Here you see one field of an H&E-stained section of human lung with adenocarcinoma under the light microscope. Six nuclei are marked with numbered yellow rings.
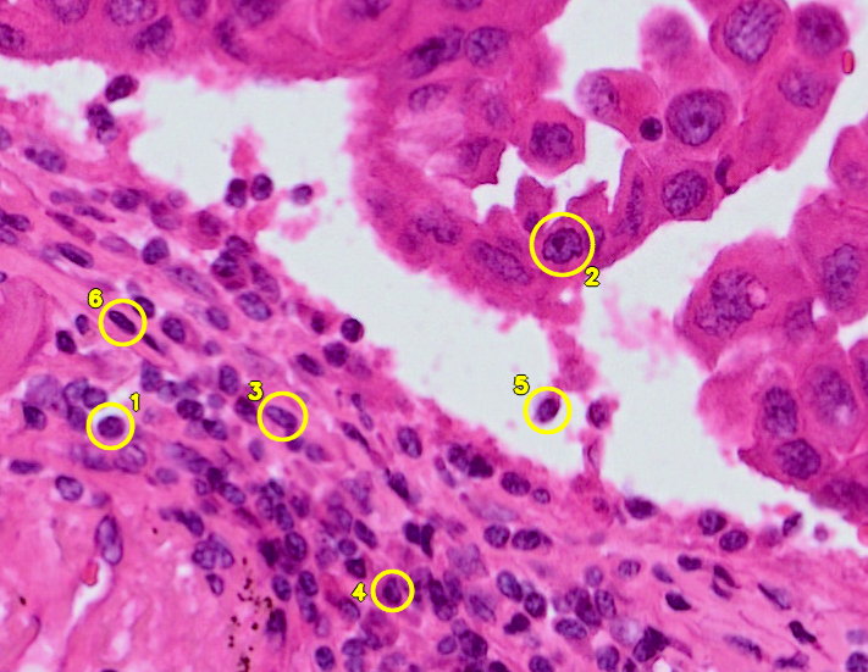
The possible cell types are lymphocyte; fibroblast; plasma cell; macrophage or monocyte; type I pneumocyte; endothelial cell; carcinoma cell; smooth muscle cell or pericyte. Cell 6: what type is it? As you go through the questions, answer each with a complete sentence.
The marked cell bearing number 6 is a lymphocyte.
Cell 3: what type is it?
Cell 3 in the field is a lymphocyte.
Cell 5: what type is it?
The label 5 in this section denotes a lymphocyte.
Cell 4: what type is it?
The cell to which the number 4 is assigned is a plasma cell.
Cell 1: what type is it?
Belonging to a lymphocyte is the nucleus that carries the number 1.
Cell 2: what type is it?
The cell identified by the number 2 is a carcinoma cell.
